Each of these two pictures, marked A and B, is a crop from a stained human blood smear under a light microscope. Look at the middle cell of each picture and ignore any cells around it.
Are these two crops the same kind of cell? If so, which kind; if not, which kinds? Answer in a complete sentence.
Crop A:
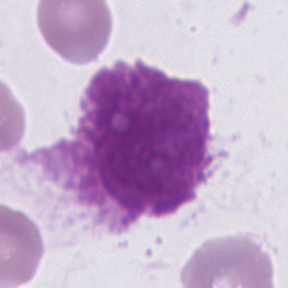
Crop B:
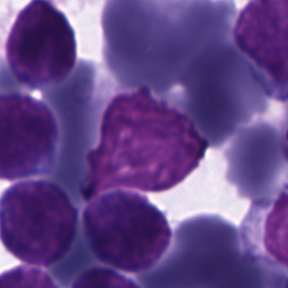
No, it is crop A that shows a smudge cell, and crop B shows a myeloblast.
